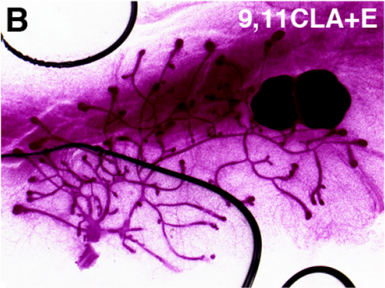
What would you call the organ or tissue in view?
Mammary glands.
